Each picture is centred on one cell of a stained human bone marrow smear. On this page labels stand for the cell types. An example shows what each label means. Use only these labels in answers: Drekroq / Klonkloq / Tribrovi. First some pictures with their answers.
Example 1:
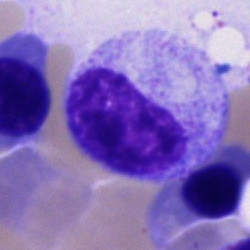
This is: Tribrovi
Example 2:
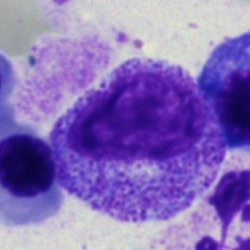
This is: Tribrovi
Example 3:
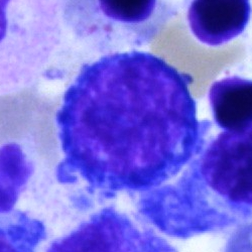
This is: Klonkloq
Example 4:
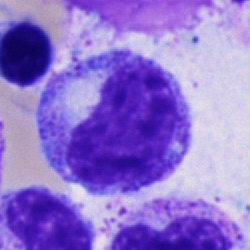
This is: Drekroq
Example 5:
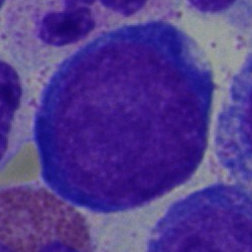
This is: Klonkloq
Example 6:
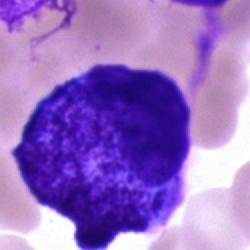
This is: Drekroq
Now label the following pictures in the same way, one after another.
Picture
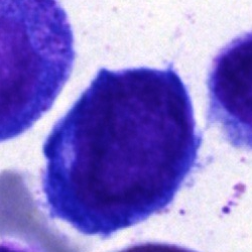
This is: Klonkloq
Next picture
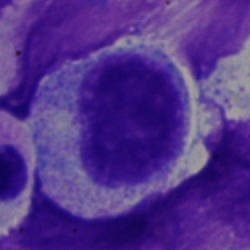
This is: Tribrovi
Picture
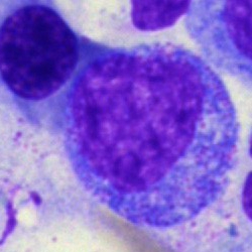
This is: Drekroq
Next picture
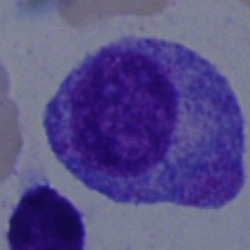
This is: Drekroq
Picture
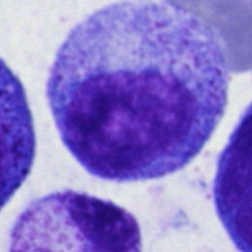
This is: Drekroq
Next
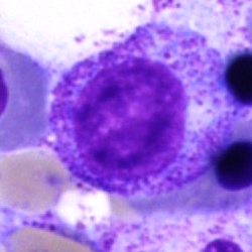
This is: Tribrovi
